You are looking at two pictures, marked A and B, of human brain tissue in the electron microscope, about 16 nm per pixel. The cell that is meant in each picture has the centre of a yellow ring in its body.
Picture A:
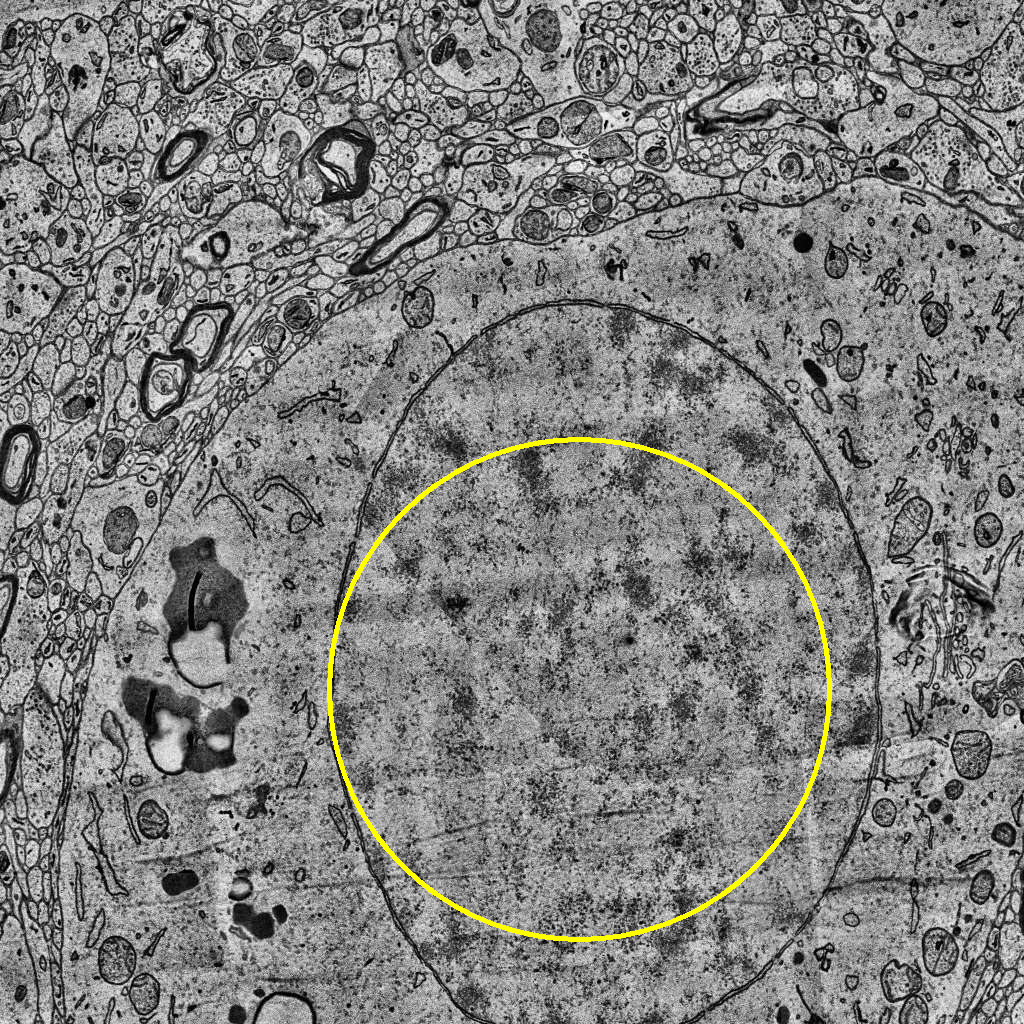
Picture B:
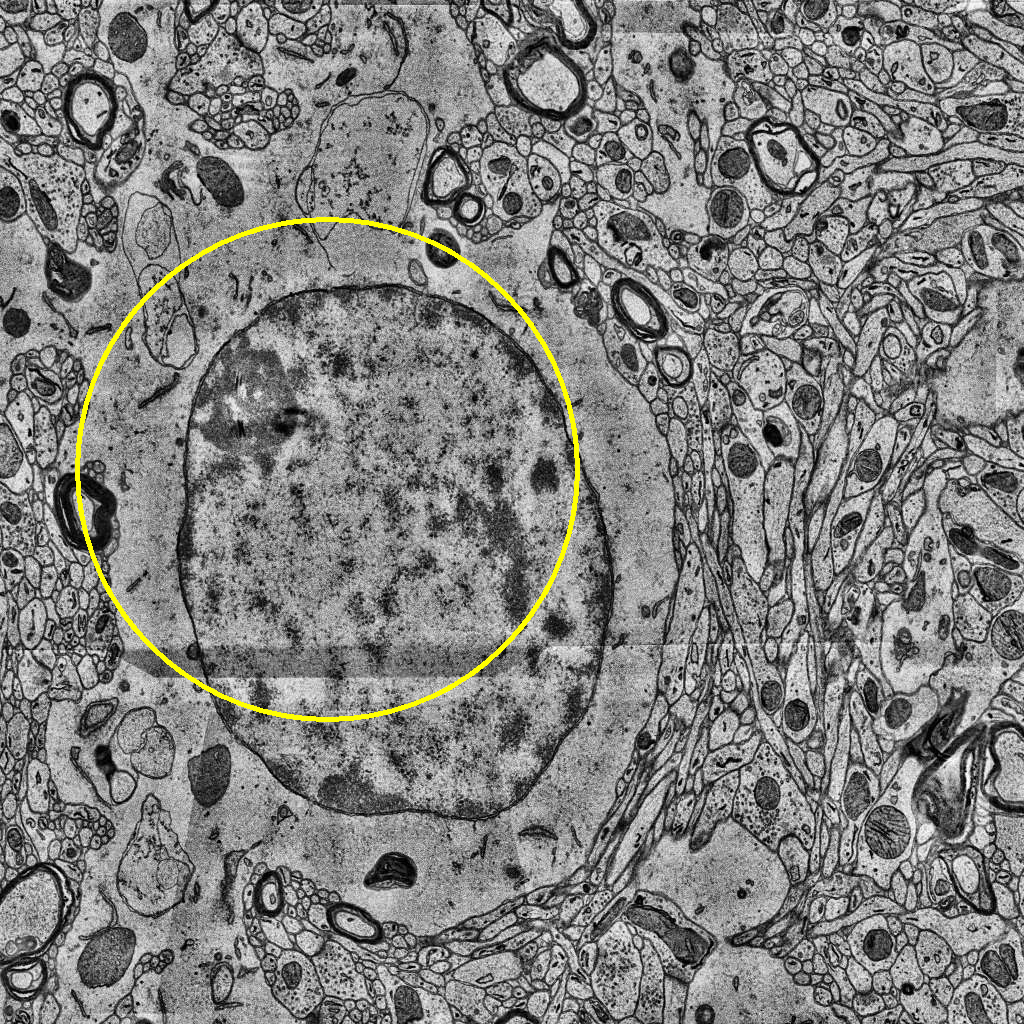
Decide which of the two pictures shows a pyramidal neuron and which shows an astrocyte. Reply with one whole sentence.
Picture A is of a pyramidal neuron, and picture B is of an astrocyte.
